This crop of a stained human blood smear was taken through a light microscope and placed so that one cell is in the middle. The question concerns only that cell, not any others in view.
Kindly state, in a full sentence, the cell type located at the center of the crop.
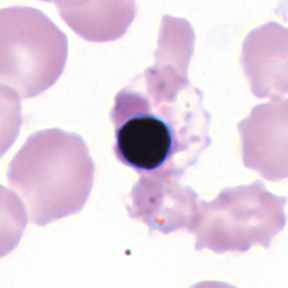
The middle cell in this particular crop is an erythroblast.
